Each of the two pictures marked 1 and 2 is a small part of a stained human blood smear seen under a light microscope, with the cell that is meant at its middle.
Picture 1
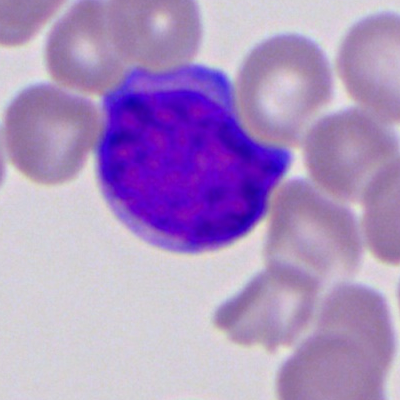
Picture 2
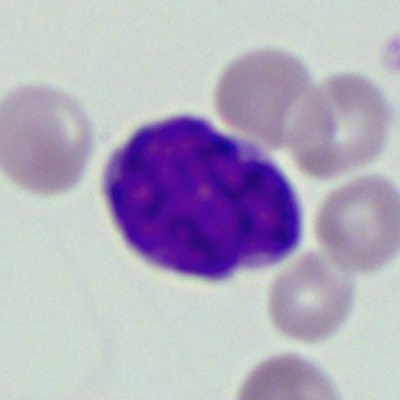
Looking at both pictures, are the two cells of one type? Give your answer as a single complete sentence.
Yes, both are myeloblasts.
